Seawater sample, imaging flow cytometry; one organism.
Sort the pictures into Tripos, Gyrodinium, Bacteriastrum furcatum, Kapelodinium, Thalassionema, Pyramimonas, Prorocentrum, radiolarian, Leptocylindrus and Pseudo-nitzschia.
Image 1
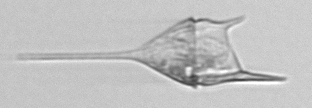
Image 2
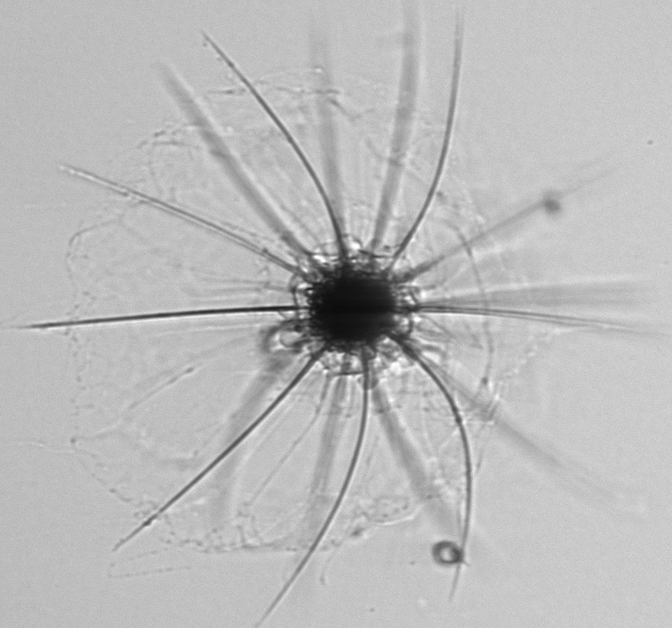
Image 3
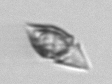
Tripos: 1
Radiolarians: 2
Gyrodinium: 3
